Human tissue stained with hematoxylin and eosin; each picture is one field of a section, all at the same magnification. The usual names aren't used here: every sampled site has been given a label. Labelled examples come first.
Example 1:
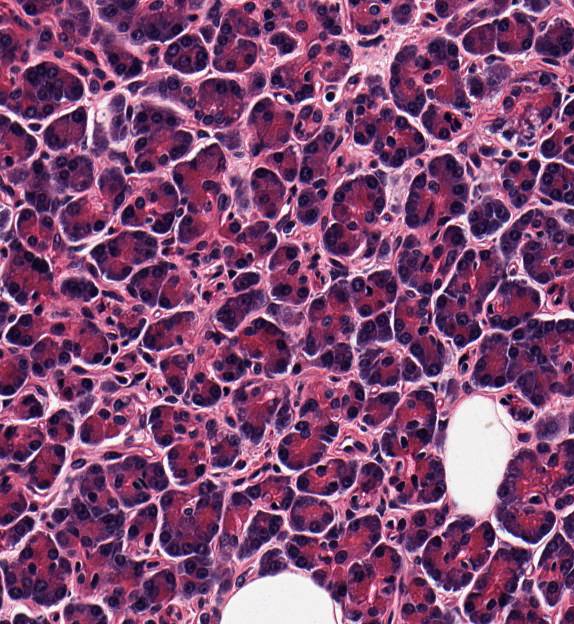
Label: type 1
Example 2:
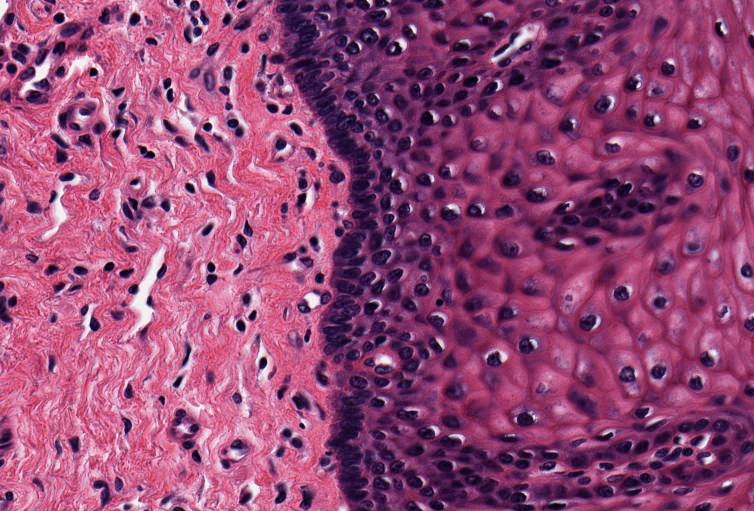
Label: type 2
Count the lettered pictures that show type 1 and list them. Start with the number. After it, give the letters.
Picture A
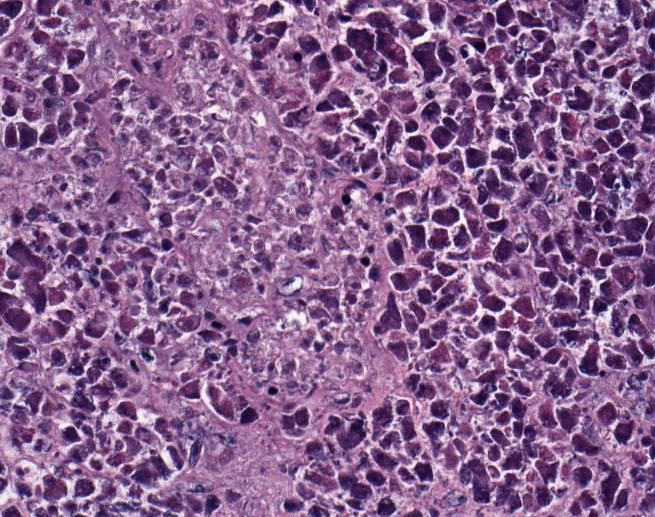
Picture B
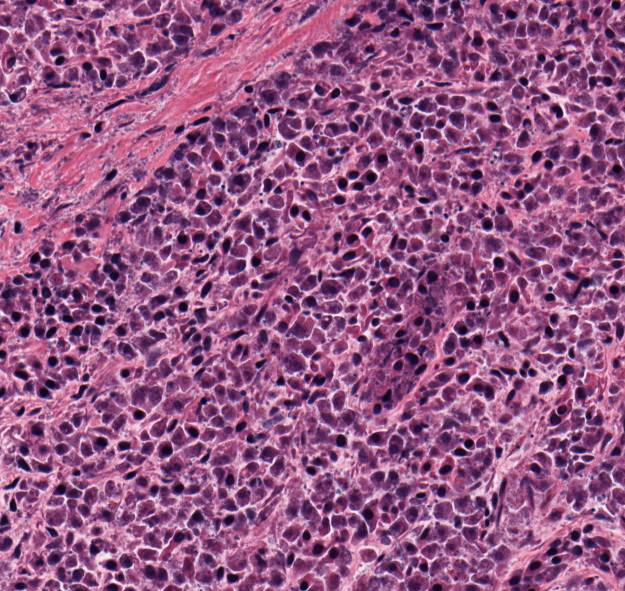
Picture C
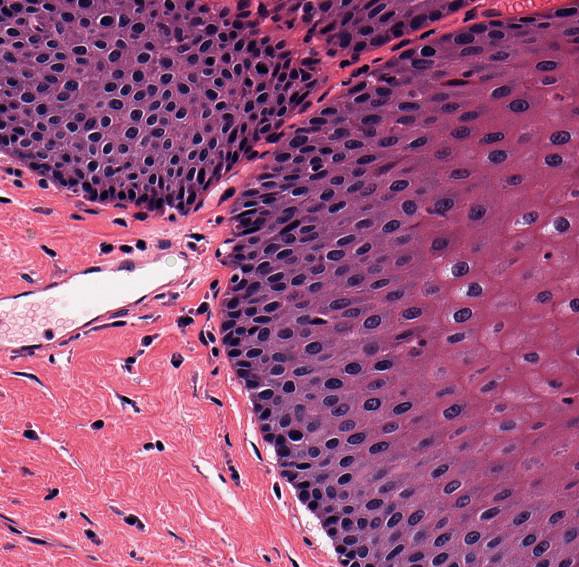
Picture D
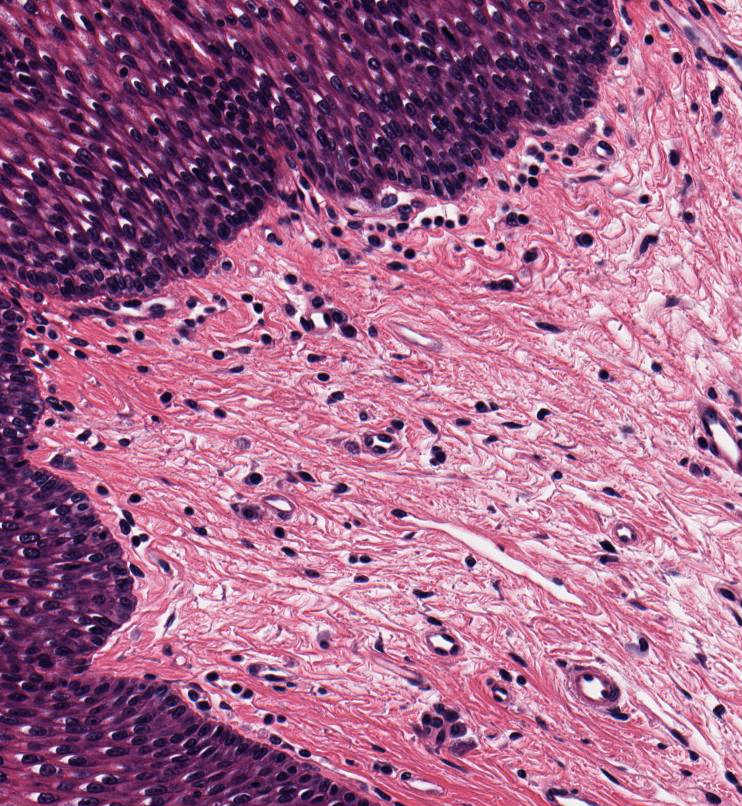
2: A, B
